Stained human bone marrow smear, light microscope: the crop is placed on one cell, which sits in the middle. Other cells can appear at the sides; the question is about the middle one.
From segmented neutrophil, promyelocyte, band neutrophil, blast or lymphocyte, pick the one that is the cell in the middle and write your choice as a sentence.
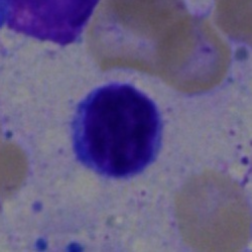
Where the crop is centred, there is a lymphocyte.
